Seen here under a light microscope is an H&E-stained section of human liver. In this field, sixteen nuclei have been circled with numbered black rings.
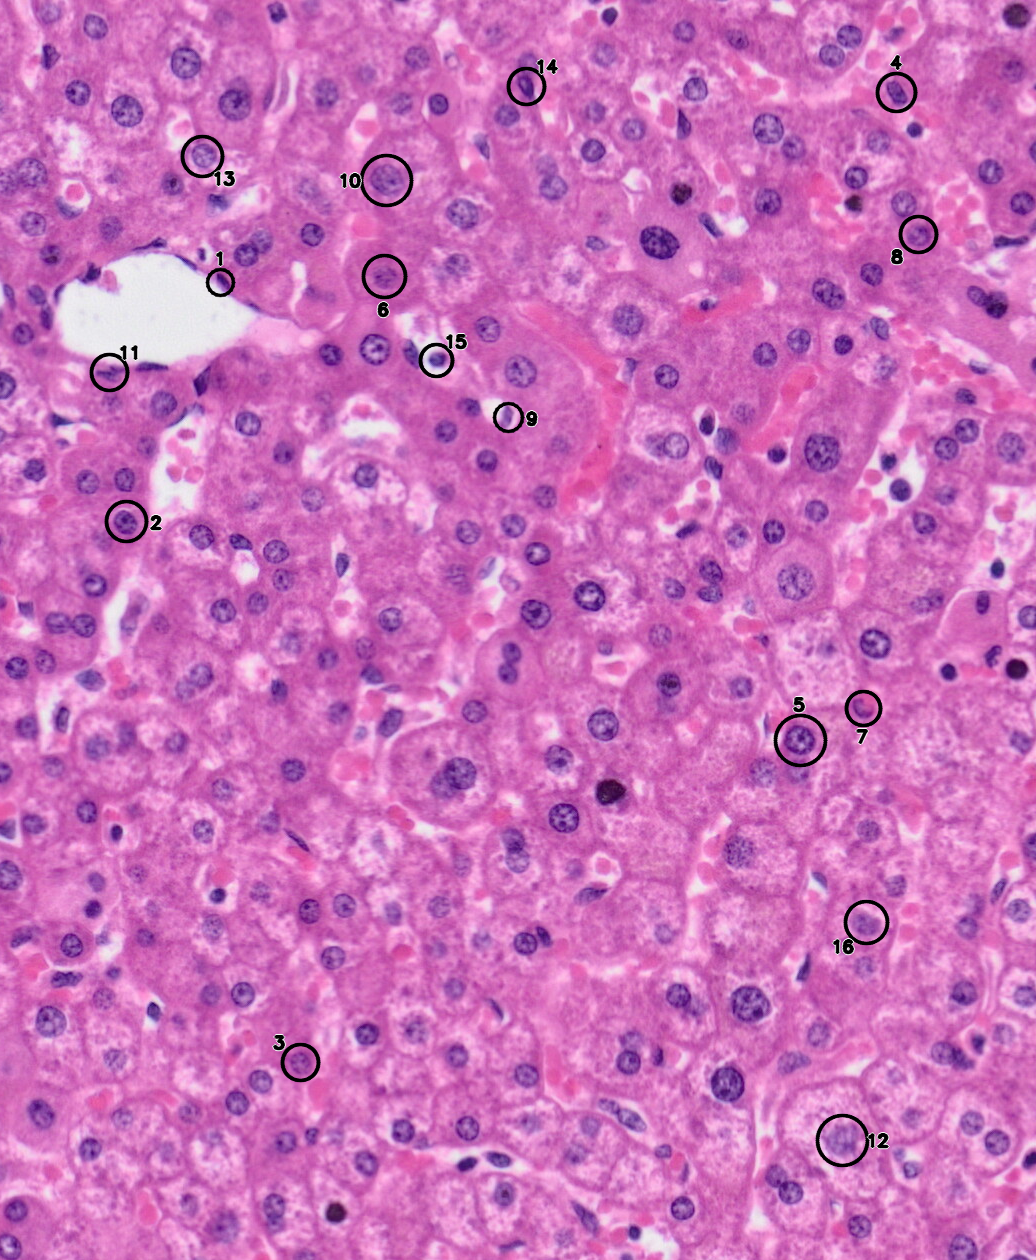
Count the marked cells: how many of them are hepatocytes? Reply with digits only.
9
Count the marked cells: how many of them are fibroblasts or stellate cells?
4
